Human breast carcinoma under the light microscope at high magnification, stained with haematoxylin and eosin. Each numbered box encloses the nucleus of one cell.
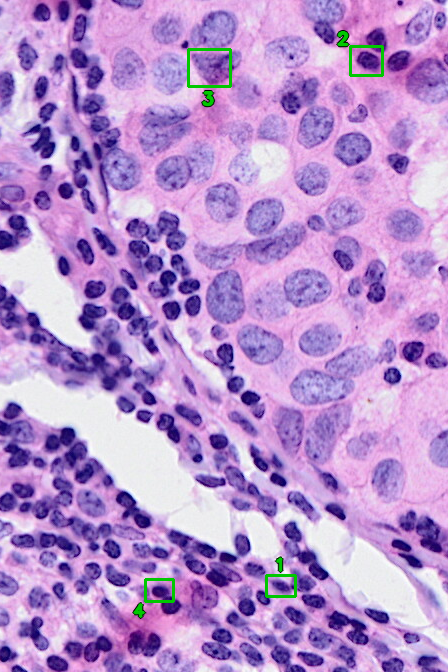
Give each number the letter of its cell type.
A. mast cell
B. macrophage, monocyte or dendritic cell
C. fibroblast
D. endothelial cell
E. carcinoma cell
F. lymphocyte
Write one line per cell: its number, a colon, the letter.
1: F
2: F
3: E
4: F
